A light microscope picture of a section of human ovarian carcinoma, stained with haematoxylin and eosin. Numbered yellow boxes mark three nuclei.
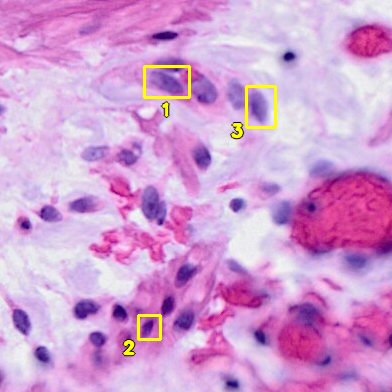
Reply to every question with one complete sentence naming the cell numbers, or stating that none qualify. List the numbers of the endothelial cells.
Only one choice fits: cell 1 is an endothelial cell, and no other.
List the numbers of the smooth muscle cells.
Cell 2 is a smooth muscle cell, and it is the only one.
